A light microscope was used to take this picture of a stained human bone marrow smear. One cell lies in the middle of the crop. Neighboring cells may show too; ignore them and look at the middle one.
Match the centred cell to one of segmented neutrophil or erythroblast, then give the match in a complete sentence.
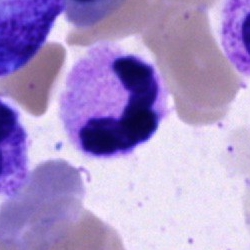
The cell in the middle of this crop is a segmented neutrophil.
